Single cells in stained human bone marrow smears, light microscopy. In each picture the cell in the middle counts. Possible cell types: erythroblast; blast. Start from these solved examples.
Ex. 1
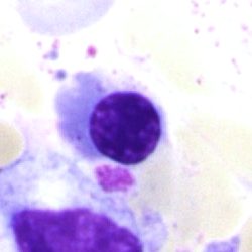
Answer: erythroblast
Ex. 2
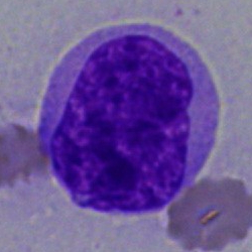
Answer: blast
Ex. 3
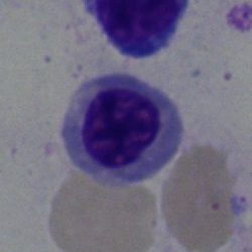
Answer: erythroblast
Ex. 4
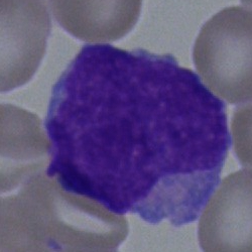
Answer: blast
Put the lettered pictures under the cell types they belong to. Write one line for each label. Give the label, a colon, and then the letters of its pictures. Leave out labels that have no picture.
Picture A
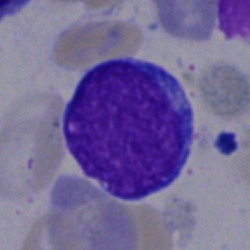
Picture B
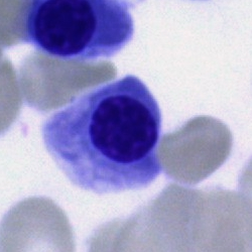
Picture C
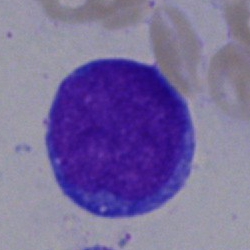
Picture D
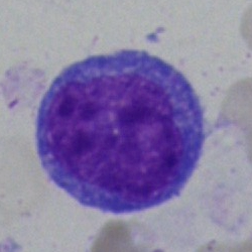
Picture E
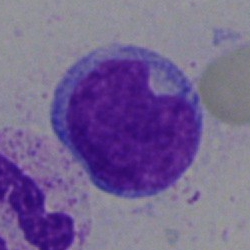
erythroblast: B
blast: A, C, D, E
